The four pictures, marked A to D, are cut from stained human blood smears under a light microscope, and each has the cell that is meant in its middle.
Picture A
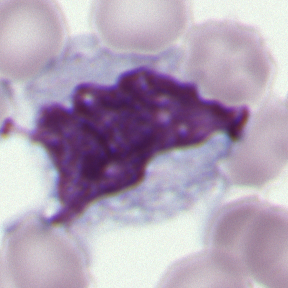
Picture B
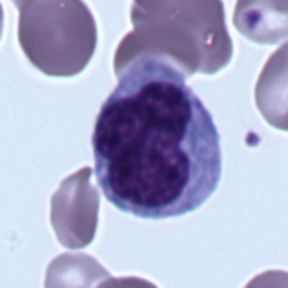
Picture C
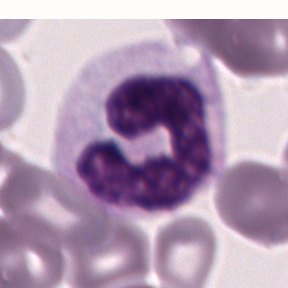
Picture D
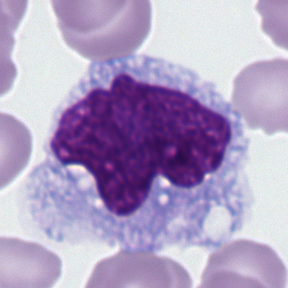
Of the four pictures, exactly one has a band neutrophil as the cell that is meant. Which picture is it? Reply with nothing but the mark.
C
